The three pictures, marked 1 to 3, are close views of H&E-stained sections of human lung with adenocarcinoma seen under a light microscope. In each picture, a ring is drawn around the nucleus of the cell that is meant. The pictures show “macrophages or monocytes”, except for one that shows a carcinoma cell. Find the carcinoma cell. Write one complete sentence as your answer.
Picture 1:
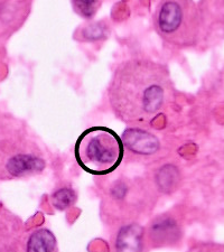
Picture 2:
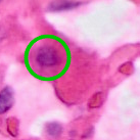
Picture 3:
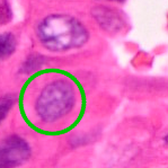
It is picture 3 that shows the carcinoma cell.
